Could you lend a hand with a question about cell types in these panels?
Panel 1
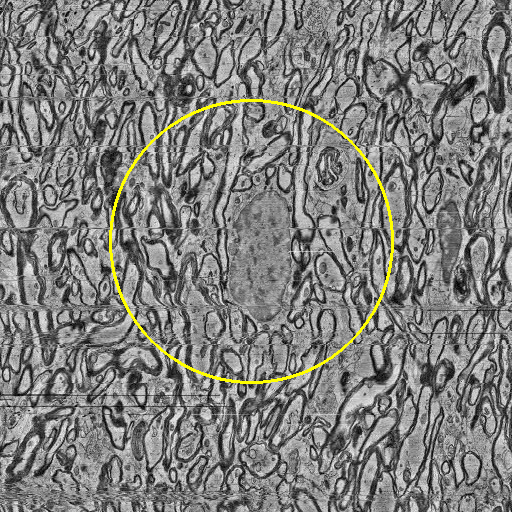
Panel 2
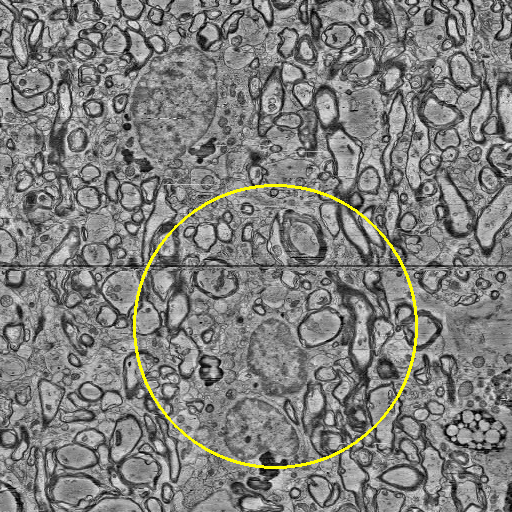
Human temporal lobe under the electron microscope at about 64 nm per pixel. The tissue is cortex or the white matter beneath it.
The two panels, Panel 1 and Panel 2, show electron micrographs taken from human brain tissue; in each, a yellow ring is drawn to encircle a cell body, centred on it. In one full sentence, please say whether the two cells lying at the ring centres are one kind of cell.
Yes, the cells at the ring centres in the two panels are one kind of cell.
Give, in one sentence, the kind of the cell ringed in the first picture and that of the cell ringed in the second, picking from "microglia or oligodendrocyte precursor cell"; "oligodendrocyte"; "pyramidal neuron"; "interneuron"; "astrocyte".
Both the first and the second picture show an oligodendrocyte in the ring.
